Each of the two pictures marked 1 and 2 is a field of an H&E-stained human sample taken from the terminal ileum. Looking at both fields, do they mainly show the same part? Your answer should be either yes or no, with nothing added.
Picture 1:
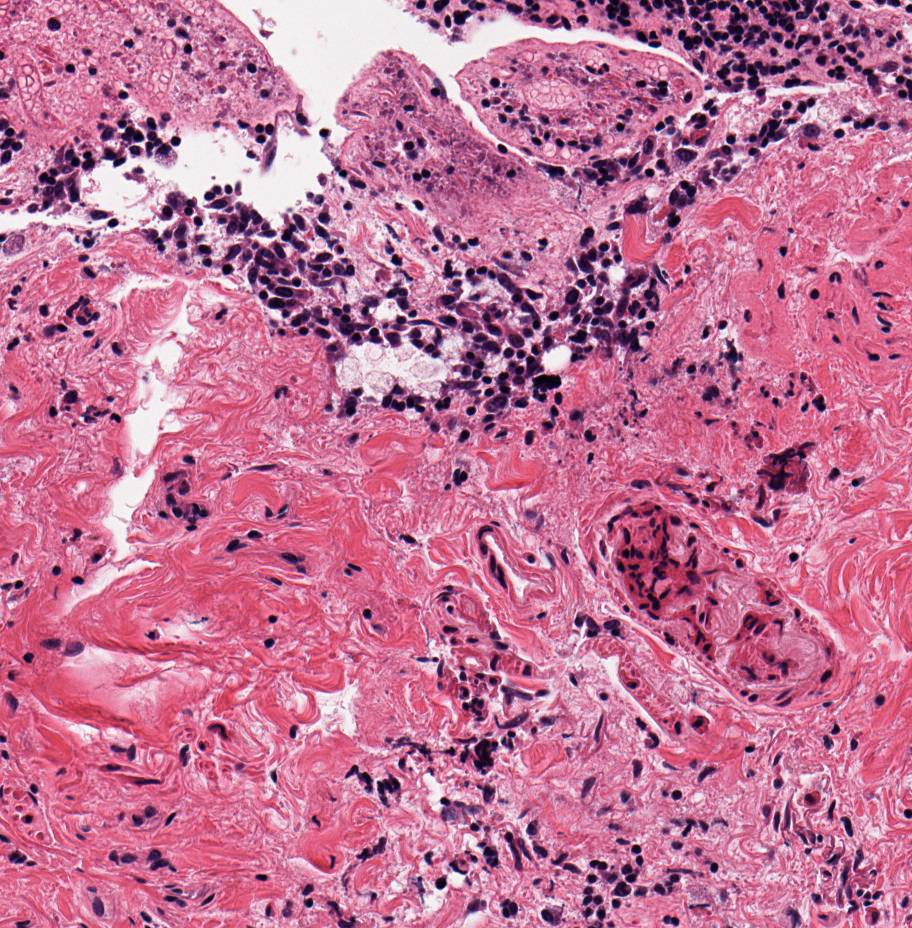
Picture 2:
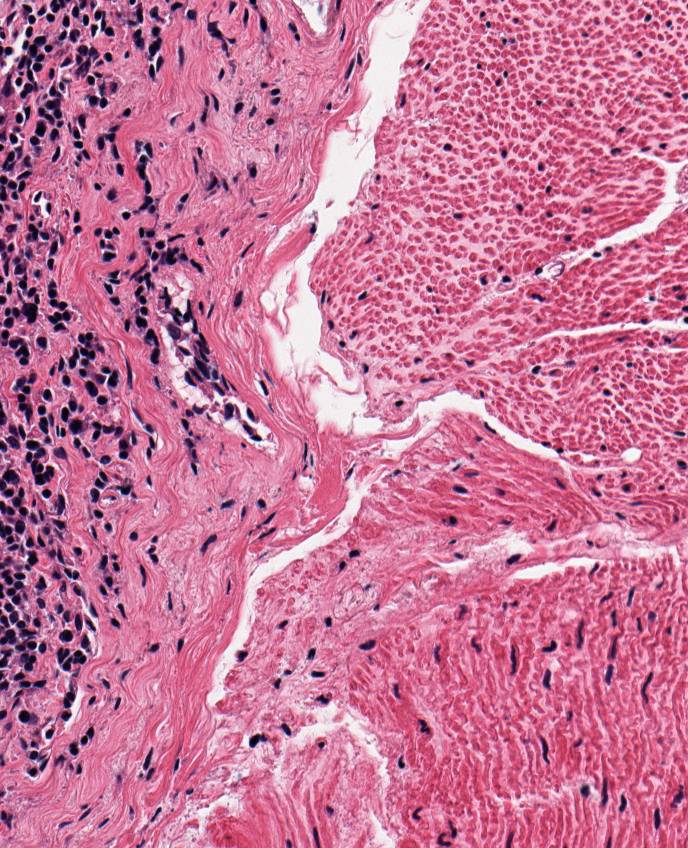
no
